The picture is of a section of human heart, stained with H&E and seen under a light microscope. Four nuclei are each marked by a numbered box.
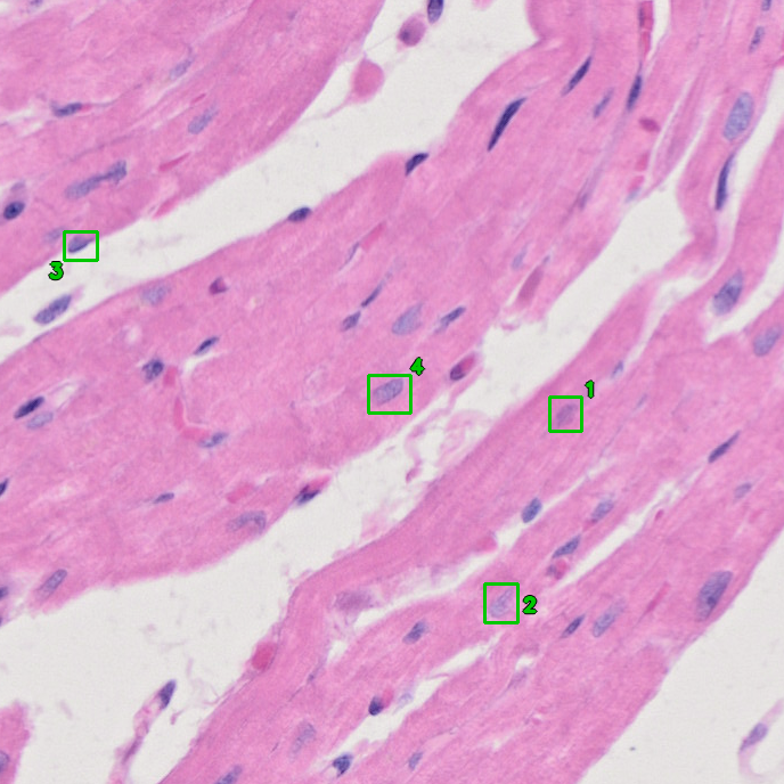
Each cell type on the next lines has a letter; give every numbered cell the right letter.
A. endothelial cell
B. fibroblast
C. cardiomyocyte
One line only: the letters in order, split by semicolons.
C; C; B; C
